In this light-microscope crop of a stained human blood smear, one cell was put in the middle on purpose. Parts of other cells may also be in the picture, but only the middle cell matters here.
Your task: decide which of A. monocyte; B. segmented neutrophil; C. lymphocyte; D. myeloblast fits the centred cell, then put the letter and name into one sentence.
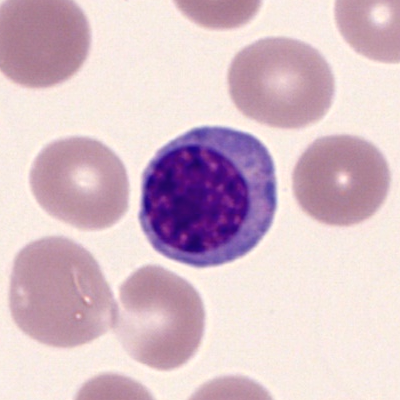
The cell centered in the crop is a lymphocyte, making option C the correct pick.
